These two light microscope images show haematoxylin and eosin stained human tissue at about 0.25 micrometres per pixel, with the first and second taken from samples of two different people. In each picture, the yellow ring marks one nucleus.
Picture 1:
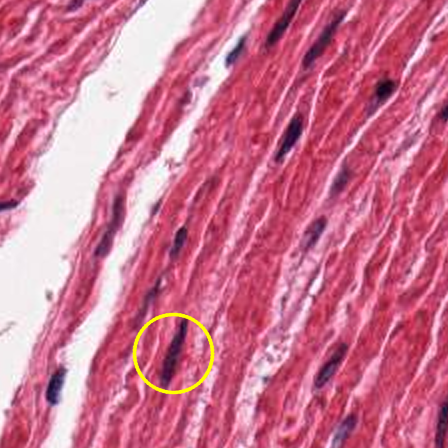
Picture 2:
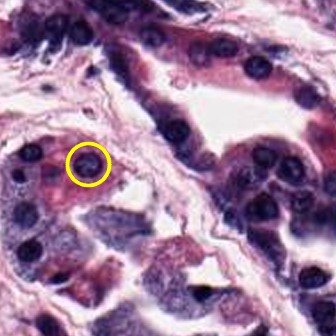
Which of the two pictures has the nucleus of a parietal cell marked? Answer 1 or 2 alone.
2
